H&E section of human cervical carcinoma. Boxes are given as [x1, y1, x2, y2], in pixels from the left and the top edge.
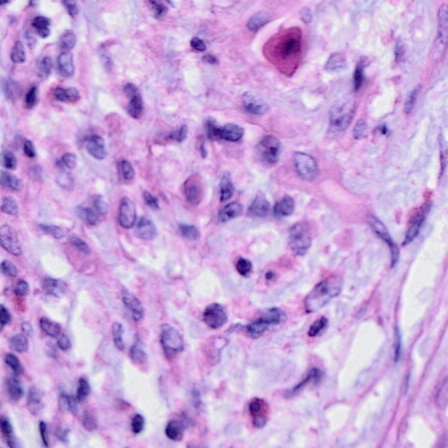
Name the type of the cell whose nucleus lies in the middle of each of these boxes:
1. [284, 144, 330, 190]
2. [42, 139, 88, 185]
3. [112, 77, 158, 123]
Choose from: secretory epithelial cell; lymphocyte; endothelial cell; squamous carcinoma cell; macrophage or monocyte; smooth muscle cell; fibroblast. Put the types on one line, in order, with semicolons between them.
endothelial cell; macrophage or monocyte; macrophage or monocyte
